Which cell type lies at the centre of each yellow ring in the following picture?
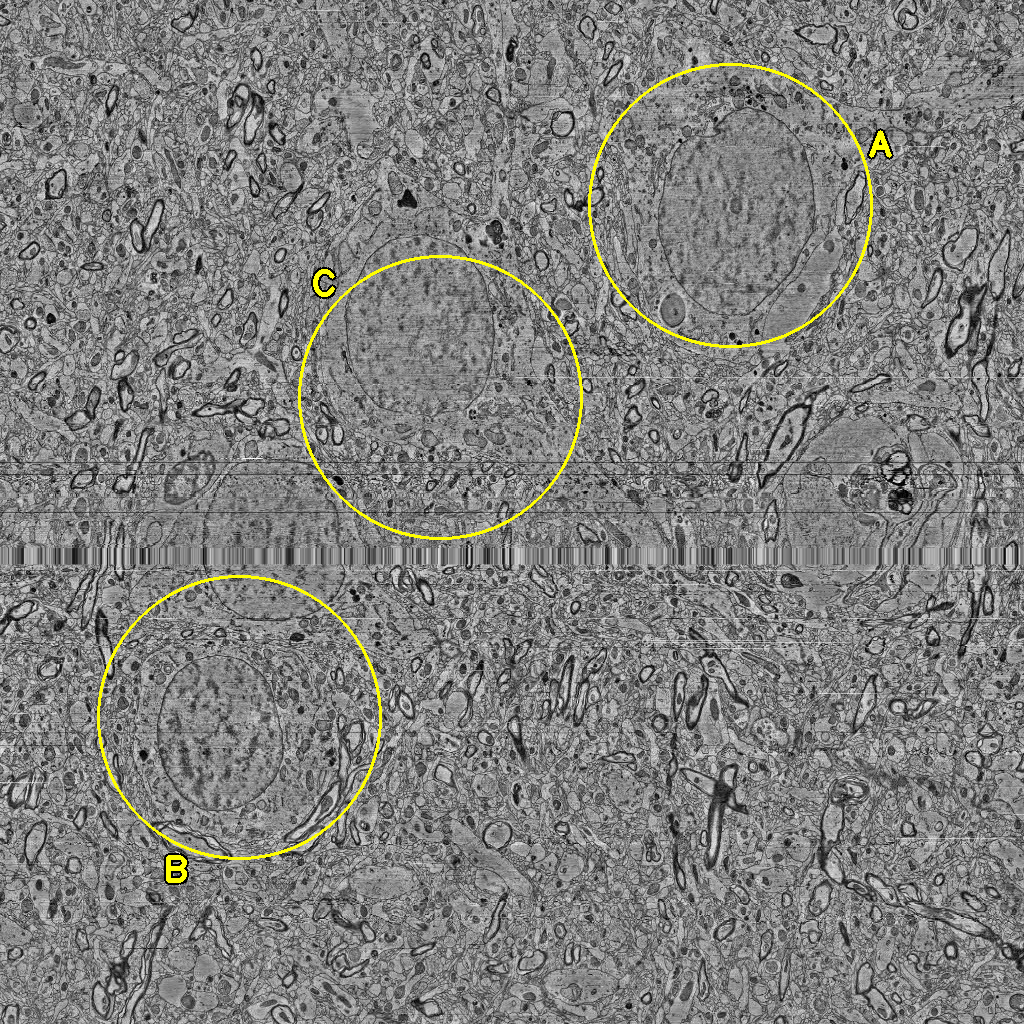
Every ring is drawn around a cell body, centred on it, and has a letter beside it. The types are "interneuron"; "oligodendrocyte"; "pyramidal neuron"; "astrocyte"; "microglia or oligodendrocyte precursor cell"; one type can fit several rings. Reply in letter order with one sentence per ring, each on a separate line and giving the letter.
Ring A marks the cell body of a pyramidal neuron.
Ring B marks the cell body of an interneuron.
Ring C marks the cell body of a pyramidal neuron.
